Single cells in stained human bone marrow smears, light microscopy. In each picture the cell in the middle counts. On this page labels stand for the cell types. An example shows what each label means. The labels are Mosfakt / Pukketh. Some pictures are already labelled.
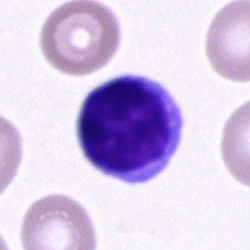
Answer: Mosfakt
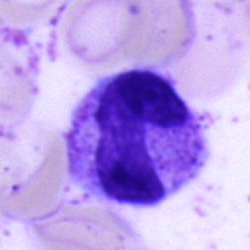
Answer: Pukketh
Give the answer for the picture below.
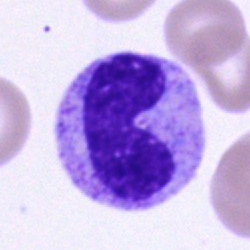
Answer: Pukketh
